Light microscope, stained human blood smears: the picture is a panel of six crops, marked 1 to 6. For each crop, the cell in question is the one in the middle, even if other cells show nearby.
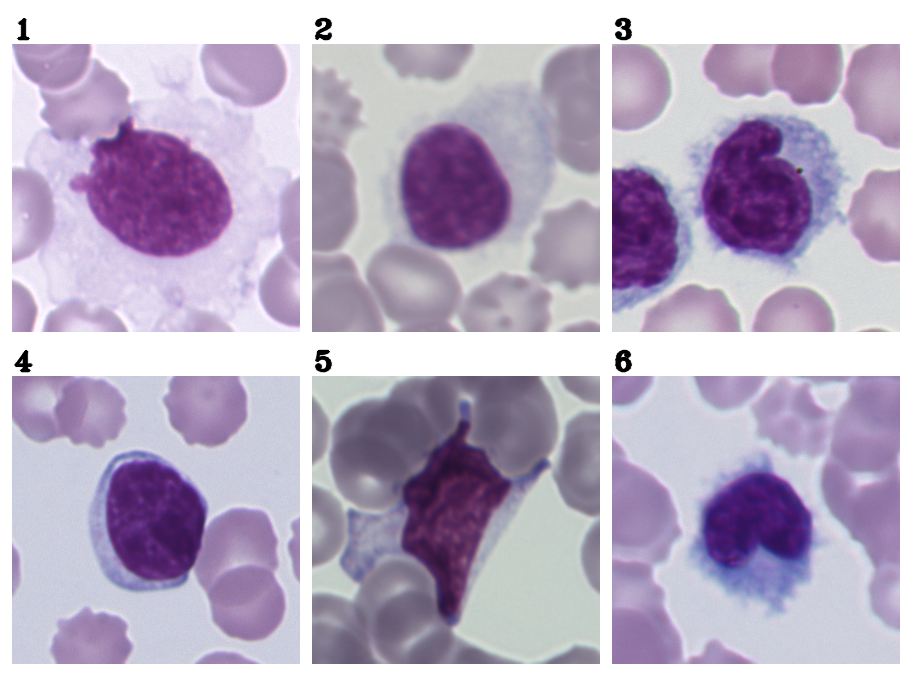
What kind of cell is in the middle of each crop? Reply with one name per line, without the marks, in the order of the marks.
hairy cell
hairy cell
hairy cell
typical lymphocyte
typical lymphocyte
hairy cell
